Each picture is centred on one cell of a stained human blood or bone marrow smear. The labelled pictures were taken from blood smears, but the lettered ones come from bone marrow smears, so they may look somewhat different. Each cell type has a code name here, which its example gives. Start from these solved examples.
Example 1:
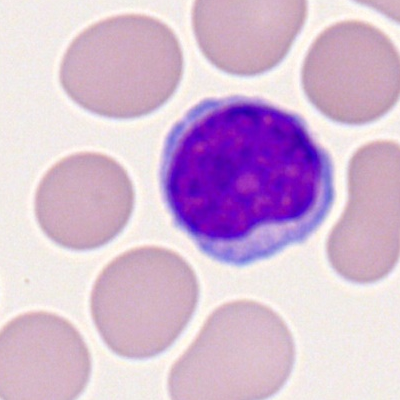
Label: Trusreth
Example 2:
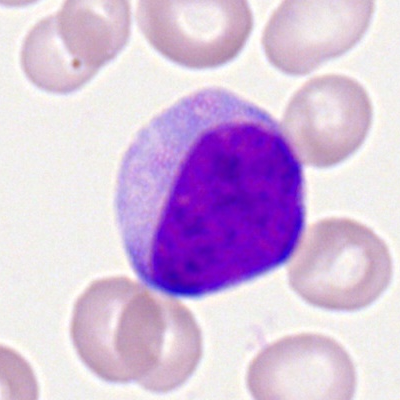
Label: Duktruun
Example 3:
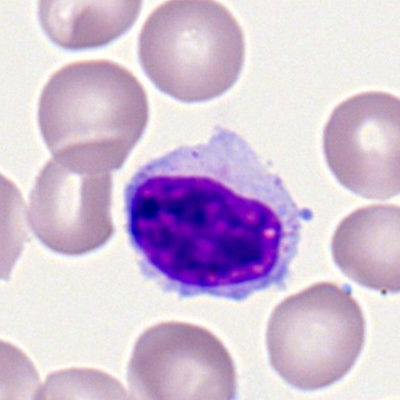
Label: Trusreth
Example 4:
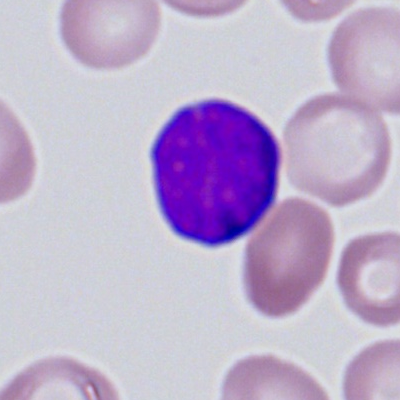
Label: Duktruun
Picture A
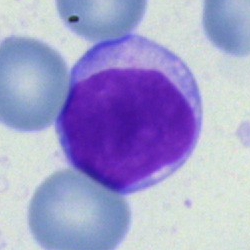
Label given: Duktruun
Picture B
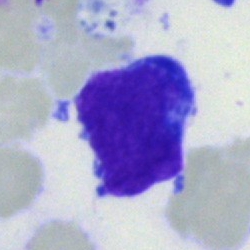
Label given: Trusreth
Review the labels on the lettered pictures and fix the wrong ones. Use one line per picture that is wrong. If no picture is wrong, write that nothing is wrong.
Wrong: A (Duktruun); correct: Trusreth
Wrong: B (Trusreth); correct: Duktruun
